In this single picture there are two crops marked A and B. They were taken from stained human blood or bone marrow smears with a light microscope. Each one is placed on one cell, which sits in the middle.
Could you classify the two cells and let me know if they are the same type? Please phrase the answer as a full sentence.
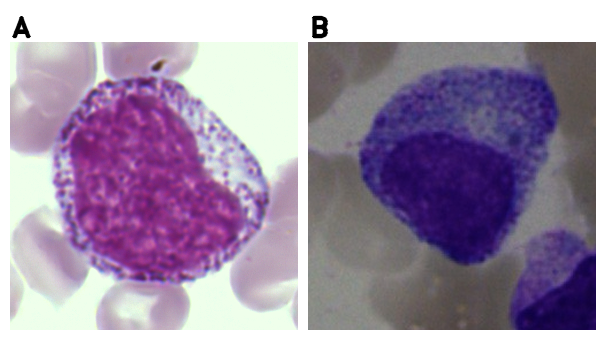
Yes, the cells of interest in both crops are myelocytes.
